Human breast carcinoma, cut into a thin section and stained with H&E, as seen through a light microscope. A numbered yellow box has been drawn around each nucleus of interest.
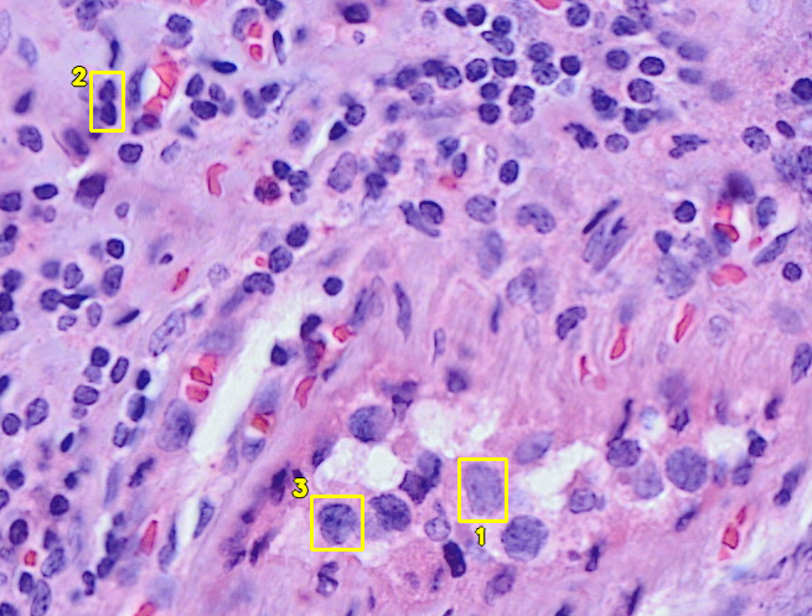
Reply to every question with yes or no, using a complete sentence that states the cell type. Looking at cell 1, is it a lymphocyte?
No, in terms of cell type, cell 1 is a carcinoma cell, not a lymphocyte.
